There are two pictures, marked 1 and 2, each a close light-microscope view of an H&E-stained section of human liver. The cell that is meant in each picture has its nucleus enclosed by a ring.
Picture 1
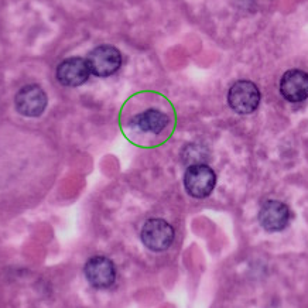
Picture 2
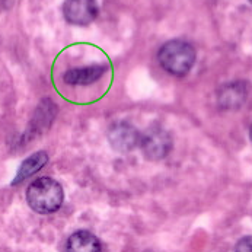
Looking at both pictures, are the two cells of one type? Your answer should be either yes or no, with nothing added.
yes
